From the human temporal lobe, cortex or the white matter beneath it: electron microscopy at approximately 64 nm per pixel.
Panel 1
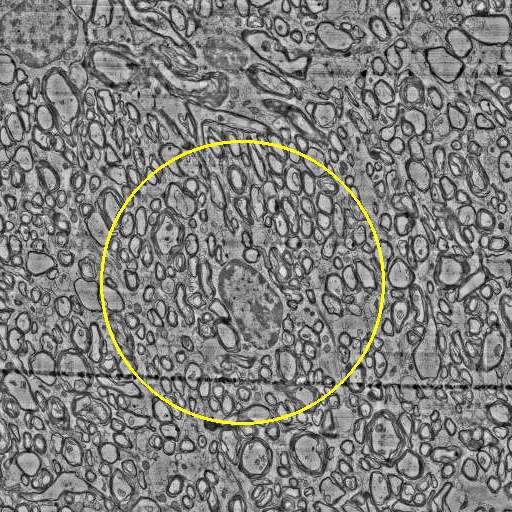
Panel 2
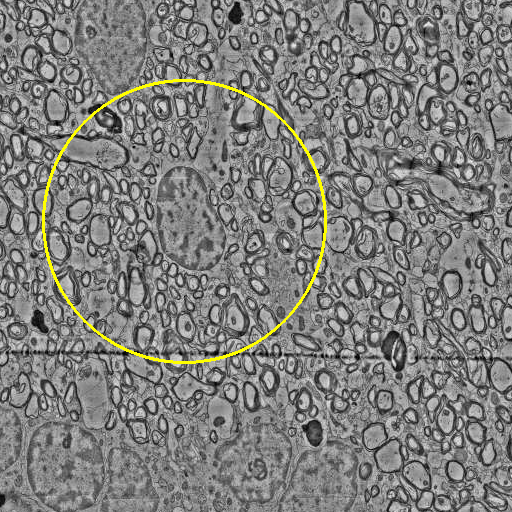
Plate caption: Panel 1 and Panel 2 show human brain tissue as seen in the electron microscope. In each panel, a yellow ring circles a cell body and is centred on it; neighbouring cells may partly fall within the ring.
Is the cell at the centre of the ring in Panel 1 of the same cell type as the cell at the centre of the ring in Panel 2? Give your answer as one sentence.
Yes, the two cells are of the same type.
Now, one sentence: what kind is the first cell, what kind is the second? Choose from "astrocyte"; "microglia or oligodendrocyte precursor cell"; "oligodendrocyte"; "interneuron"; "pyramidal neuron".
In each picture the ringed cell is a microglial cell or oligodendrocyte precursor cell.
